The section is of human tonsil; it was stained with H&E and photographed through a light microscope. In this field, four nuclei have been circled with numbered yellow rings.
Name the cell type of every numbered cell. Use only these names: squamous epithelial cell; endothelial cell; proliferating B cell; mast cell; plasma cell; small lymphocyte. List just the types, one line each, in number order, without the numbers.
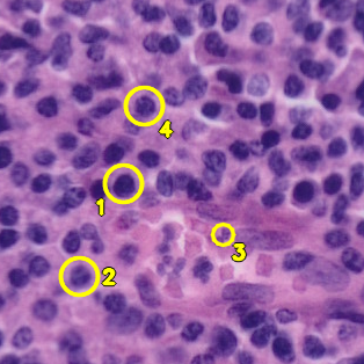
plasma cell
plasma cell
endothelial cell
plasma cell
